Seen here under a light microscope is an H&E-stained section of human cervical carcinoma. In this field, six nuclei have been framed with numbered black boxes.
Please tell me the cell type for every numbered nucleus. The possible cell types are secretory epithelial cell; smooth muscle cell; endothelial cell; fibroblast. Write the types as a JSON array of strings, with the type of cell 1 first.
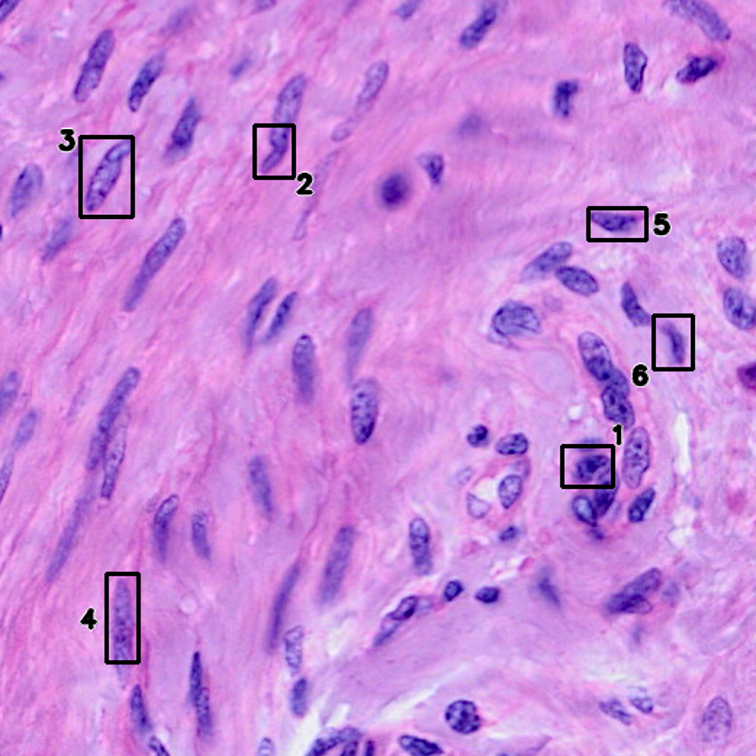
["endothelial cell", "smooth muscle cell", "smooth muscle cell", "smooth muscle cell", "fibroblast", "fibroblast"]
